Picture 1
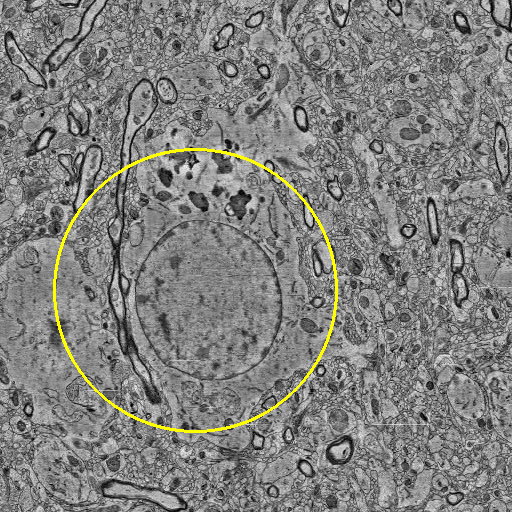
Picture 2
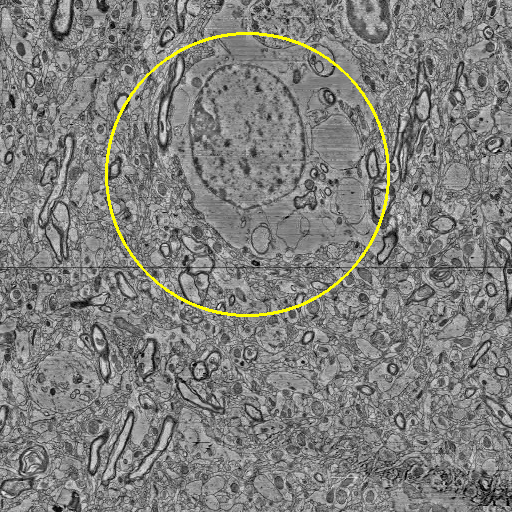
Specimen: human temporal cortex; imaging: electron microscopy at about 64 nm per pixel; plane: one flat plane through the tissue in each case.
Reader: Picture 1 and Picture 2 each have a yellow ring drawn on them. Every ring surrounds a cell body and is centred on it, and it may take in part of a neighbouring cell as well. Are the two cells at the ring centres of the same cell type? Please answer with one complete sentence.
Yes, both cells are of the same cell type.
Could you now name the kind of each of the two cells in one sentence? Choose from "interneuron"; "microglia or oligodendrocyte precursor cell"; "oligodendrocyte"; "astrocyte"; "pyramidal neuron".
Each of the two rings is centred on an astrocyte.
